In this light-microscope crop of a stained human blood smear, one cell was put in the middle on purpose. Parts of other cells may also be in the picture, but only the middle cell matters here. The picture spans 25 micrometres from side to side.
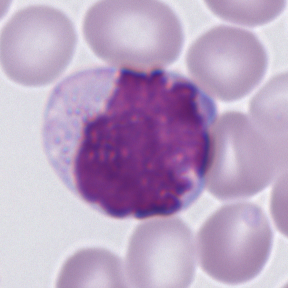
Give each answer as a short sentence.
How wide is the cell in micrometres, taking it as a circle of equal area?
The diameter of the cell comes to about 15 micrometres.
